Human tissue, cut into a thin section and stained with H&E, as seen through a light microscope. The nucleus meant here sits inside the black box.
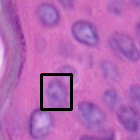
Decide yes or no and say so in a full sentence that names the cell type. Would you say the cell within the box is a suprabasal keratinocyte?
Yes, the description of the cell within the box as a suprabasal keratinocyte is accurate.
